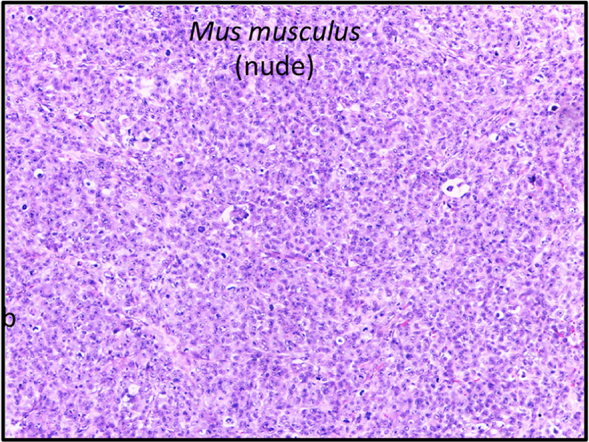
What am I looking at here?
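This is a solid tumor made of densely packed cancer cells arranged in a continuous sheet with very little intervening stroma. The cells are round to polygonal, with purple nuclei of varying size and a moderate amount of pink cytoplasm. Scattered larger, pleomorphic nuclei and a few small clear spaces are present, but no distinct bundles of elongated cells are seen.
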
